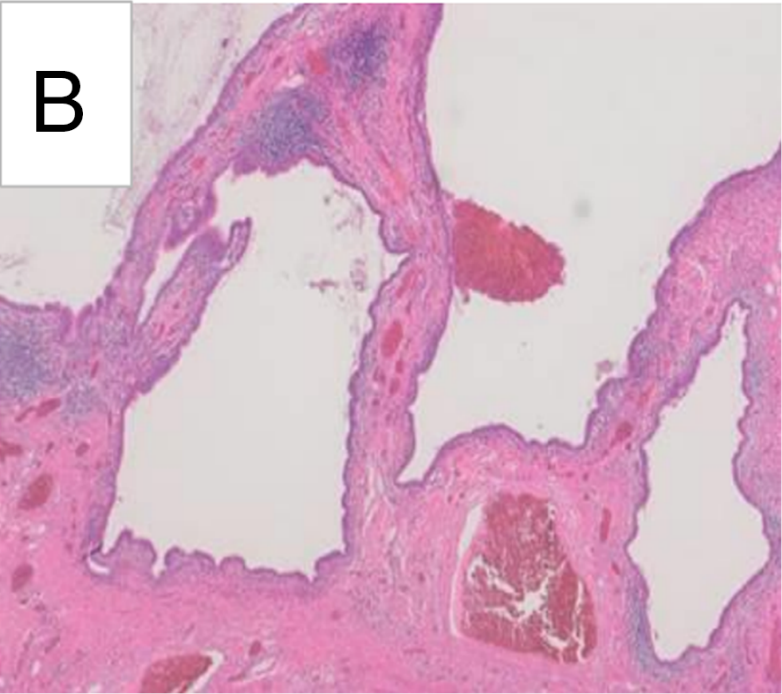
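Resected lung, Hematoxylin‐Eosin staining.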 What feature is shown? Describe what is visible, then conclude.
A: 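Several large empty spaces are bounded by thin pink walls. The walls consist of pale pink fibrous tissue with blood vessels. A thin cell layer lines the surfaces facing the spaces. That points to this answer: multiple cysts.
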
